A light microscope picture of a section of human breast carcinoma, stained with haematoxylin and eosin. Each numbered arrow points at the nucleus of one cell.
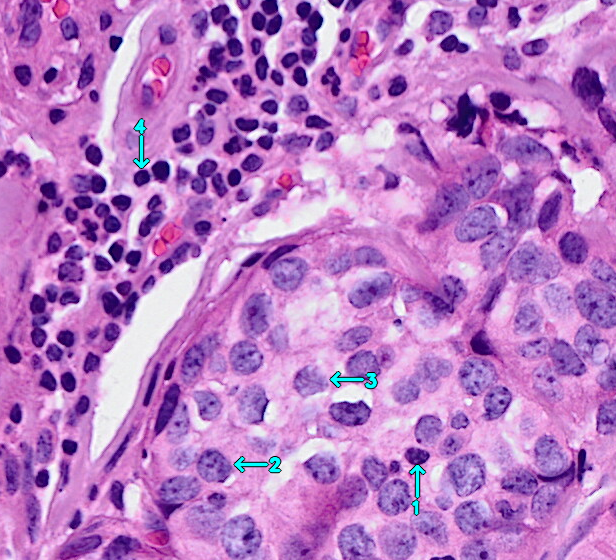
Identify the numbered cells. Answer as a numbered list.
1. lymphocyte
2. carcinoma cell
3. carcinoma cell
4. lymphocyte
